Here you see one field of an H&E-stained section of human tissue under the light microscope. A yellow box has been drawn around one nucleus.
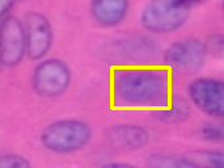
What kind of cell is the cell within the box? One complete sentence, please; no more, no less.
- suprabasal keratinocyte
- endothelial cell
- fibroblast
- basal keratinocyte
To be brief about it, the cell within the box is a suprabasal keratinocyte.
